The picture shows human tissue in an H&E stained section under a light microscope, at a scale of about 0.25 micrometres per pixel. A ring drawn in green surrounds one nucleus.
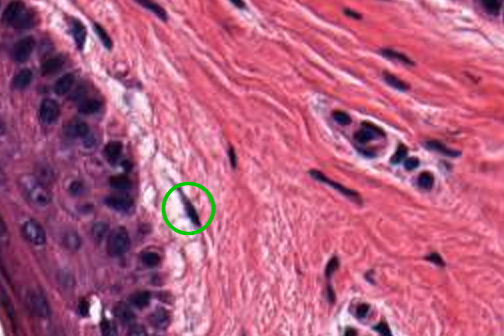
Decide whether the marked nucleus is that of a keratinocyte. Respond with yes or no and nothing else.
no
